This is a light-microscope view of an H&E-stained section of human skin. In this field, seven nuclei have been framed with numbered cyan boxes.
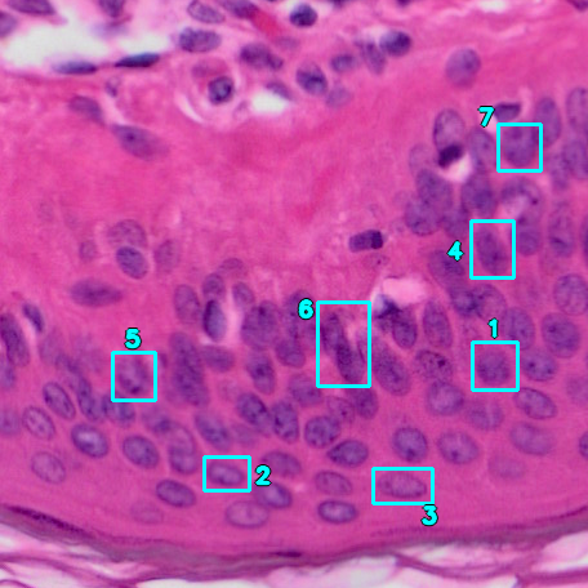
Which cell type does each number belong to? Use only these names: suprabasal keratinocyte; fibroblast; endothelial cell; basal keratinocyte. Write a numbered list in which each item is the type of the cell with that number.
1. suprabasal keratinocyte
2. suprabasal keratinocyte
3. suprabasal keratinocyte
4. basal keratinocyte
5. basal keratinocyte
6. basal keratinocyte
7. basal keratinocyte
